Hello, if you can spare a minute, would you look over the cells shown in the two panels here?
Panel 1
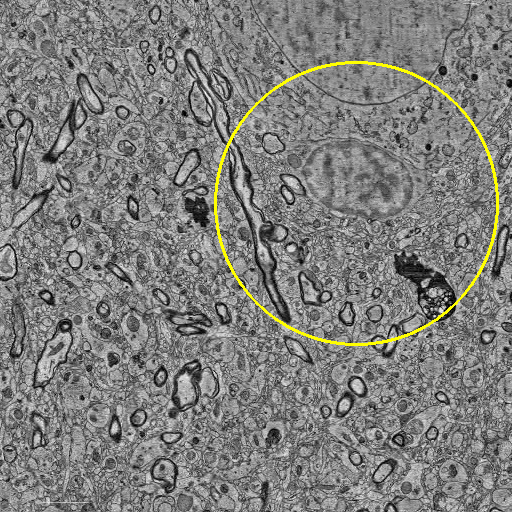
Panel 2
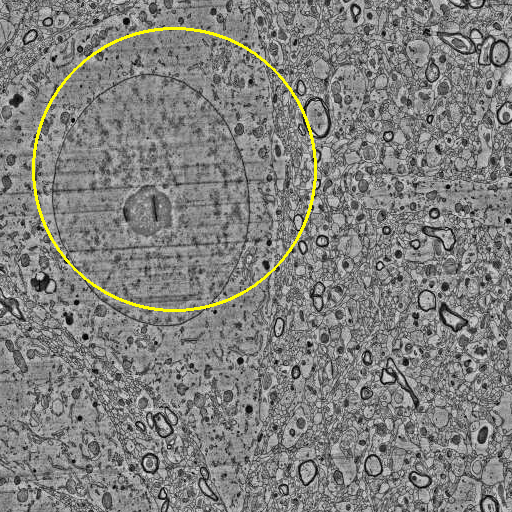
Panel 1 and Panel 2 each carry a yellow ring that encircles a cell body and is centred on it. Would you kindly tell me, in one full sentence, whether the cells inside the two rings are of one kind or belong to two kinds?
The cells at the centres of the rings in Panel 1 and Panel 2 belong to two kinds.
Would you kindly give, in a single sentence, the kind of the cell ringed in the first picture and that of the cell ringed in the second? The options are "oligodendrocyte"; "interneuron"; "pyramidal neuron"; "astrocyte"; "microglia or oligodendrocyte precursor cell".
The second cell is a pyramidal neuron, and the first cell is an oligodendrocyte.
